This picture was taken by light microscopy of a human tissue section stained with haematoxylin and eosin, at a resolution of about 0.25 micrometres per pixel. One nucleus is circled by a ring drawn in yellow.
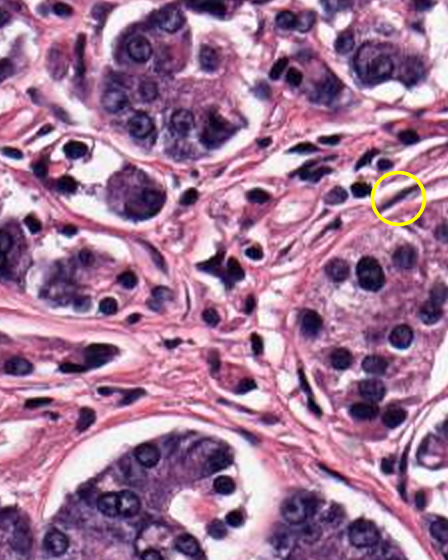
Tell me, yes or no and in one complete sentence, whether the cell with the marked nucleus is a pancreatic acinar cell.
No, the marked nucleus does not belong to a pancreatic acinar cell; it belongs to a supporting cell.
